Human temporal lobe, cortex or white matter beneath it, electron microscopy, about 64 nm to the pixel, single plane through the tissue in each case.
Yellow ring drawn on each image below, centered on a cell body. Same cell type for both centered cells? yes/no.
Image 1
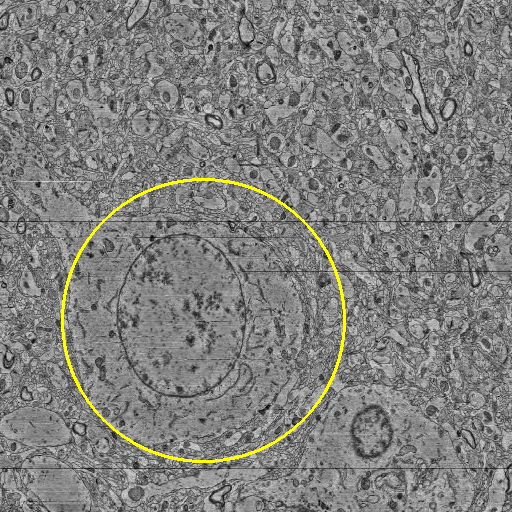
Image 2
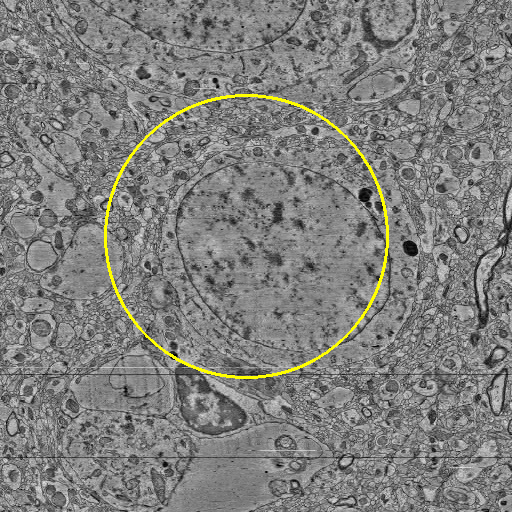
yes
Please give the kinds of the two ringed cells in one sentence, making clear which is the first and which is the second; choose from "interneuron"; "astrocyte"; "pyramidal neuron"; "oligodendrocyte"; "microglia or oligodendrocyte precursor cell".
Both the first and the second picture show a pyramidal neuron in the ring.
